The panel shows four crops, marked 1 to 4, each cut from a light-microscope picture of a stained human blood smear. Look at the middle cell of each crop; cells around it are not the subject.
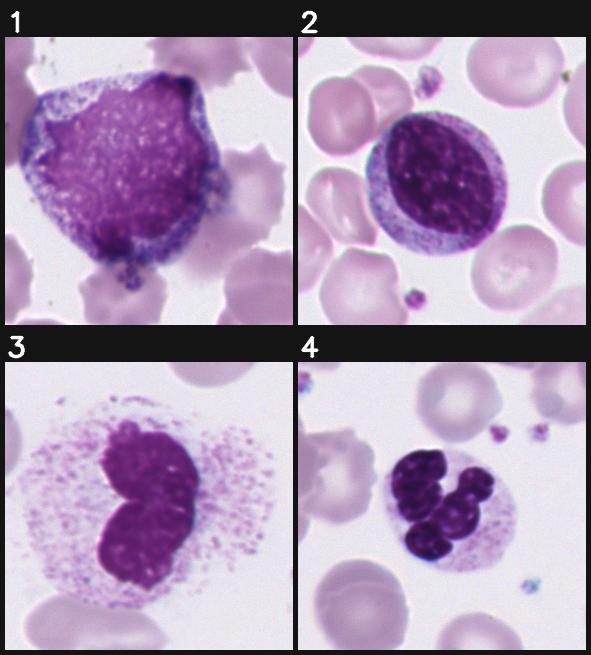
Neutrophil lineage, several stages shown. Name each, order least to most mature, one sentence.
From least mature to most mature, the crops fall in the order crop 1 (a promyelocyte), crop 2 (a myelocyte), crop 3 (a band neutrophil) and crop 4 (a segmented neutrophil).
